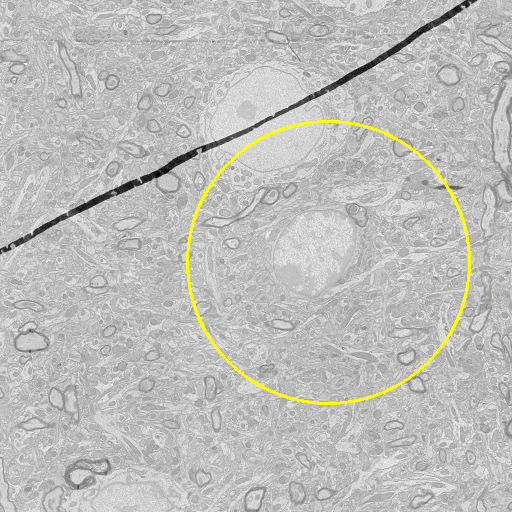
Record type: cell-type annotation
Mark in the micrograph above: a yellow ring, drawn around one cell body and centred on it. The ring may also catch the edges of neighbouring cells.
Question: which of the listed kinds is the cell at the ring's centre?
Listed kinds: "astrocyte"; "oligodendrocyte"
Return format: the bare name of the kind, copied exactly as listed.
oligodendrocyte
